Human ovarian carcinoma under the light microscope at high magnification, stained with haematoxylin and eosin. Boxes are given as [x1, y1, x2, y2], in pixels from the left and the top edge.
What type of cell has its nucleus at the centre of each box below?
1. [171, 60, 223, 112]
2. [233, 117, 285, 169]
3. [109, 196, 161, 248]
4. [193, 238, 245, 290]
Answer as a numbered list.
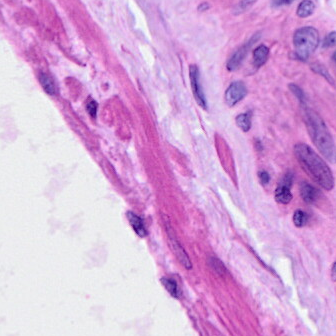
1. fibroblast
2. smooth muscle cell
3. endothelial cell
4. smooth muscle cell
